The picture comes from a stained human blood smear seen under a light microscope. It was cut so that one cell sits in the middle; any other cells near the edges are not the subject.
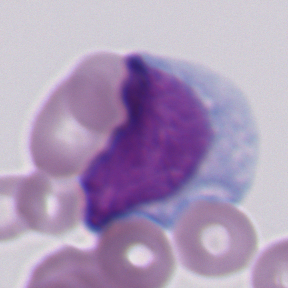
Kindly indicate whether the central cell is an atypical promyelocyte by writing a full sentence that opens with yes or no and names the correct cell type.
No, not an atypical promyelocyte but a myeloblast is the cell in the centre.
